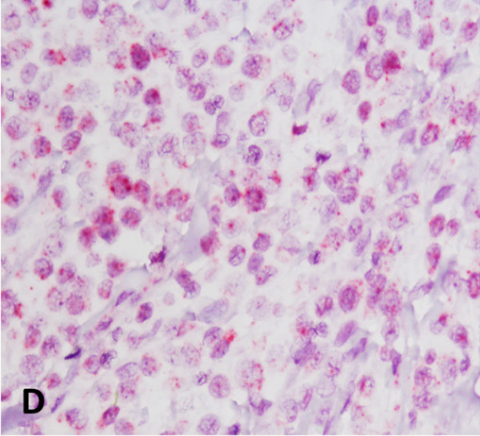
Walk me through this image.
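Closely packed round neoplastic cells with round, vesicular blue-purple nuclei and some slender spindle-shaped cells between them fill the field. Many of the round cells hold clusters of fine red dots over the nucleus and cytoplasm, a few being deeply red, while others carry only scattered dots. The red dots are fine and granular rather than a diffuse wash.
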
